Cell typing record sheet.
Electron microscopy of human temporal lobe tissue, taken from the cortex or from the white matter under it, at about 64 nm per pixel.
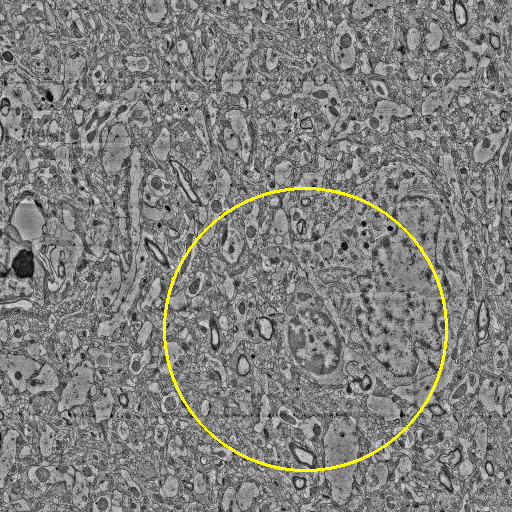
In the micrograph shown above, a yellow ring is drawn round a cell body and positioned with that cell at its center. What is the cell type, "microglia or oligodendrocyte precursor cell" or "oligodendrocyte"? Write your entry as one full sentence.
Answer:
The cell body at the center of the ring belongs to an oligodendrocyte.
